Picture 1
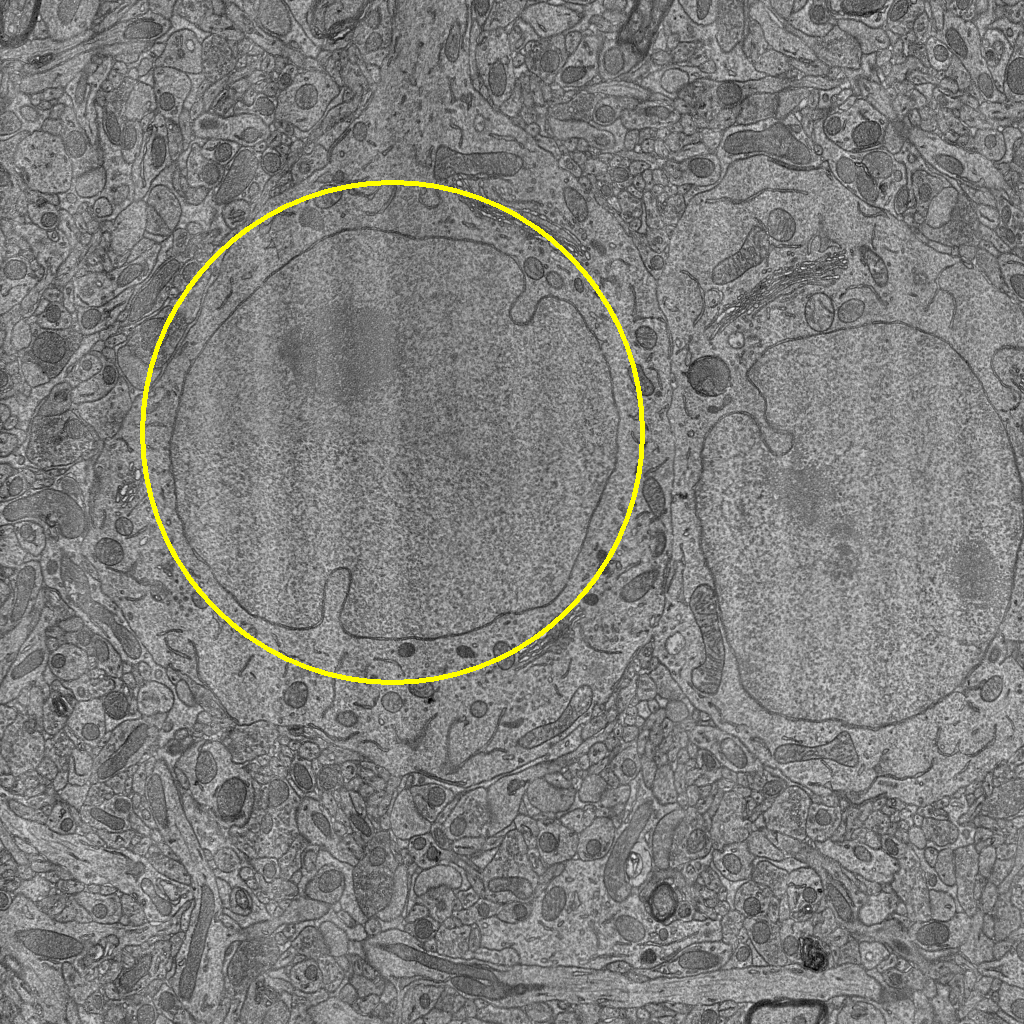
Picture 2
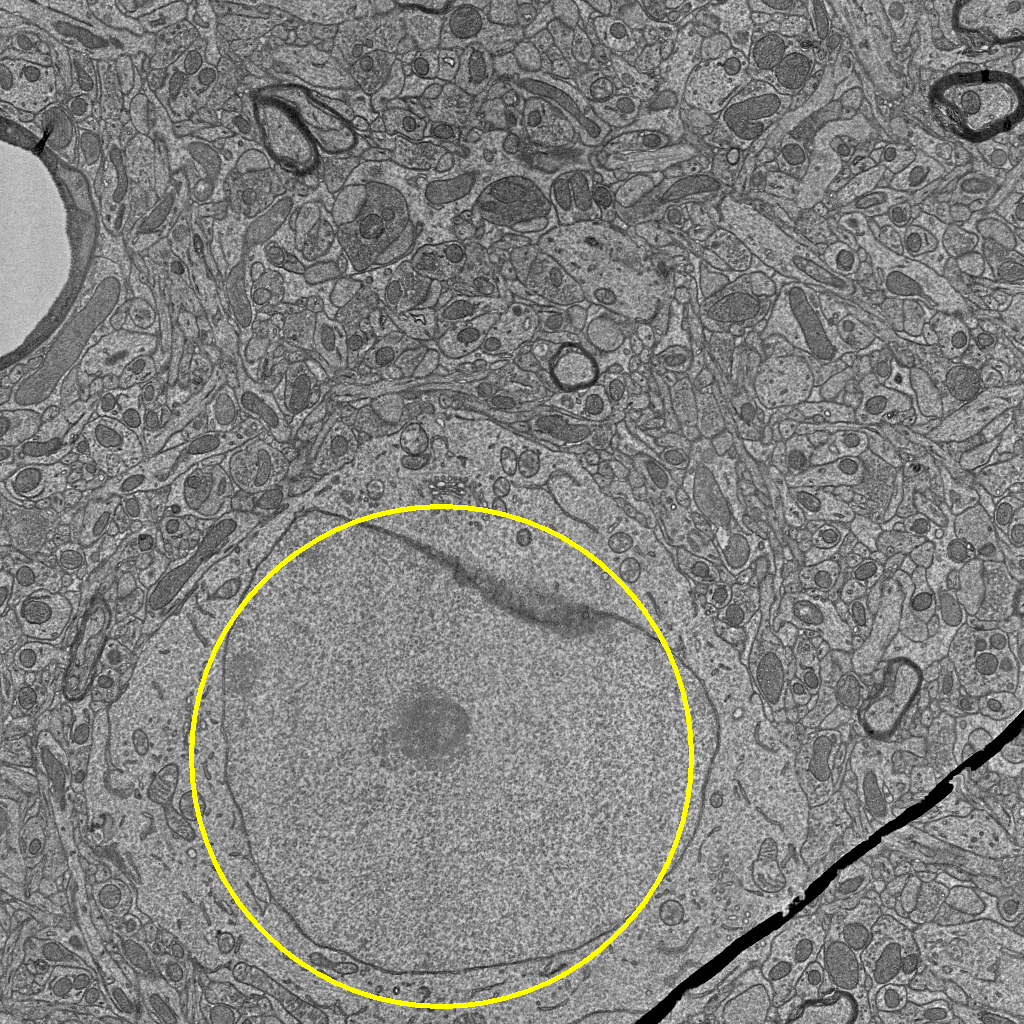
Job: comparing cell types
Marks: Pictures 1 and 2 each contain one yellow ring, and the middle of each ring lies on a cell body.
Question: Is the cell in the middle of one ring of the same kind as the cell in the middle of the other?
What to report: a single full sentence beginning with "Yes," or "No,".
Yes, the cell at the ring centre in Picture 1 and its partner in Picture 2 are of one kind.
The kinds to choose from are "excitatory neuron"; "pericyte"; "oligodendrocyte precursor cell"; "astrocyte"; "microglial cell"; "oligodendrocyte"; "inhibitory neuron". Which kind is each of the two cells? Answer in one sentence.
The second cell is an excitatory neuron, just as the first is.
